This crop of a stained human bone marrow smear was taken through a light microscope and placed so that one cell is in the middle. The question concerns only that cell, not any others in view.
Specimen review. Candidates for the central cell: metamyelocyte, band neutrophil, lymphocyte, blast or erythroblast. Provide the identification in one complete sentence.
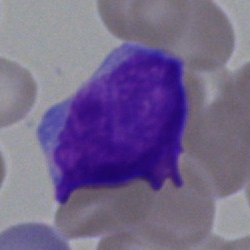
This crop's central cell is a blast.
